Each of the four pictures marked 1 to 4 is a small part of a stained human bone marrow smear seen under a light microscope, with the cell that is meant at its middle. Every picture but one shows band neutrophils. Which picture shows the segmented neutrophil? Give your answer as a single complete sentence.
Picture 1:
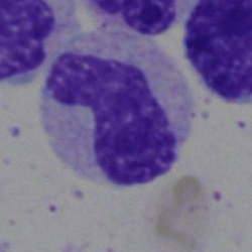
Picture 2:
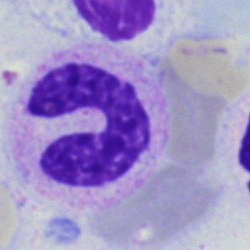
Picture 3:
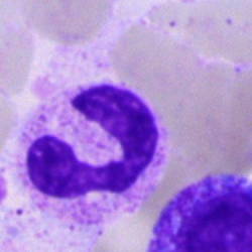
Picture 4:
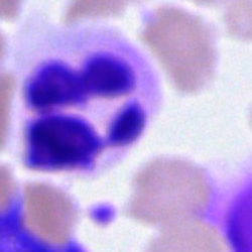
The segmented neutrophil is the one in picture 4.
